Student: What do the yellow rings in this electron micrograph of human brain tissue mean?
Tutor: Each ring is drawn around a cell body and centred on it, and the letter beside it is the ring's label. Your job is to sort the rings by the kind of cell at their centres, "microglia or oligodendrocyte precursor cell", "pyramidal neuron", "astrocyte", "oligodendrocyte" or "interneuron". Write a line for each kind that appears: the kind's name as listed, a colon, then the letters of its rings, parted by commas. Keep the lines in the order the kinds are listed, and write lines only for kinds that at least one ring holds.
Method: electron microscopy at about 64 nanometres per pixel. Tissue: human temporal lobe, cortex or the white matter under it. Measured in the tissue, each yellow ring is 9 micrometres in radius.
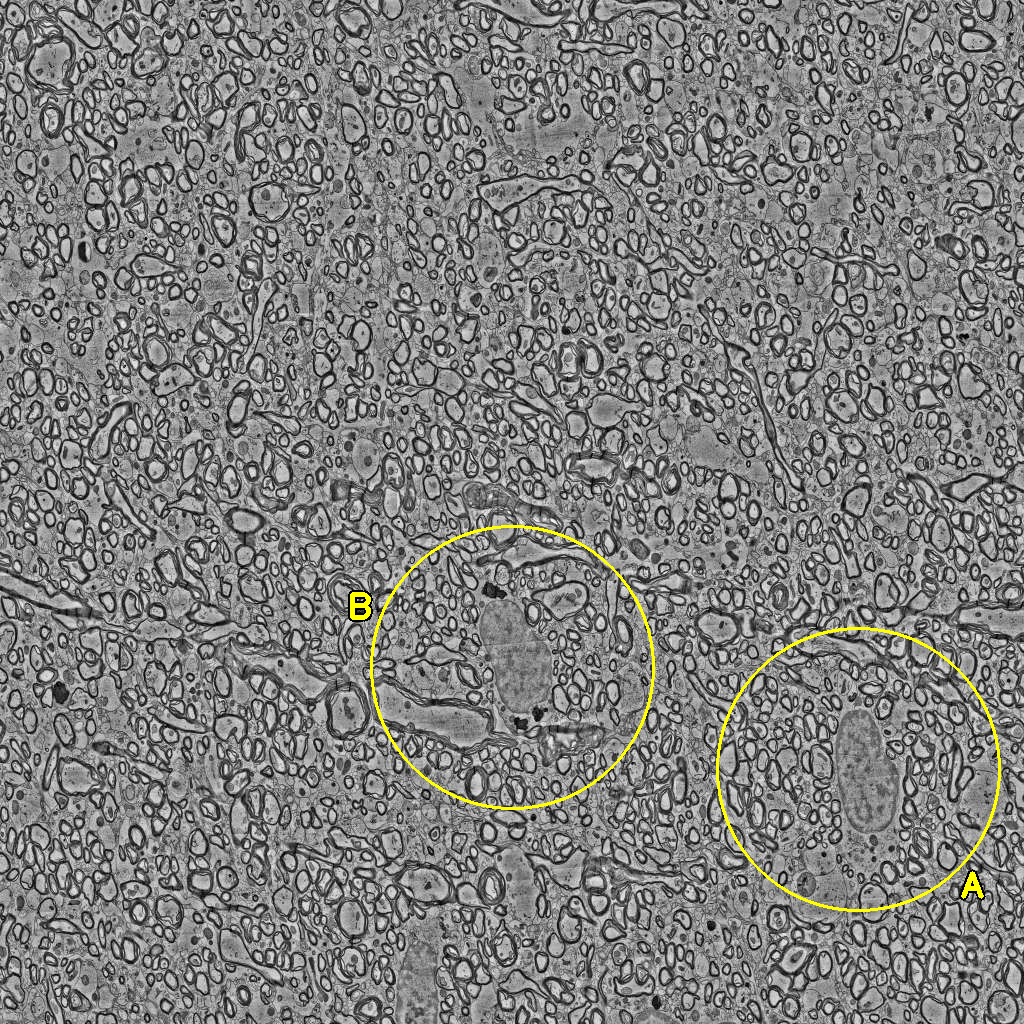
oligodendrocyte: A, B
